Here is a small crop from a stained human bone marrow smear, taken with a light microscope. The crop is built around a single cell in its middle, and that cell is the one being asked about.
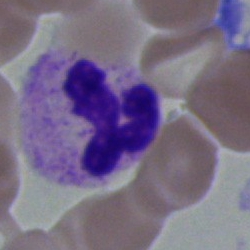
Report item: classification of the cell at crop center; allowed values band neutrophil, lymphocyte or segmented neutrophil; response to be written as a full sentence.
In the middle of this smear crop, the cell is a segmented neutrophil.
